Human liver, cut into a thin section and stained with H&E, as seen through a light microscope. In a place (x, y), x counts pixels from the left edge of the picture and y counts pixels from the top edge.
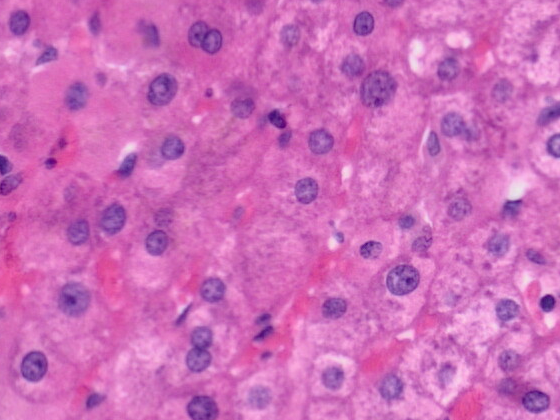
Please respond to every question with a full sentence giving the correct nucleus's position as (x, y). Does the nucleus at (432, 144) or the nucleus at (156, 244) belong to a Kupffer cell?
The nucleus whose position is (432, 144) belongs to a Kupffer cell.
